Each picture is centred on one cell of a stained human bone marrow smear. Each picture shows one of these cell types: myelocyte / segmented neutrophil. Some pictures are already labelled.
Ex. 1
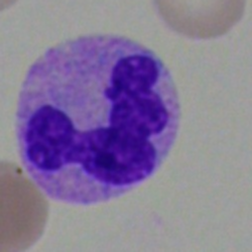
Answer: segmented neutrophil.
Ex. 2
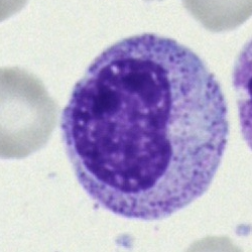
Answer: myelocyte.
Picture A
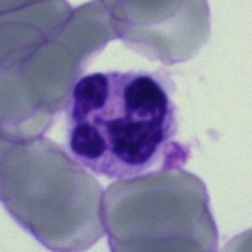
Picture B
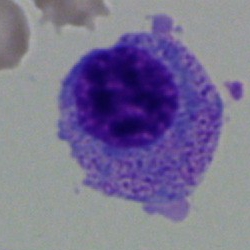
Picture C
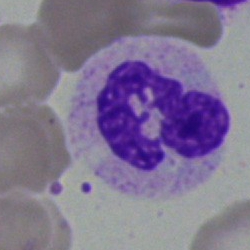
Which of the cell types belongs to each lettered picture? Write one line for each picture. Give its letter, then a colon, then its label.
A: segmented neutrophil.
B: myelocyte.
C: segmented neutrophil.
